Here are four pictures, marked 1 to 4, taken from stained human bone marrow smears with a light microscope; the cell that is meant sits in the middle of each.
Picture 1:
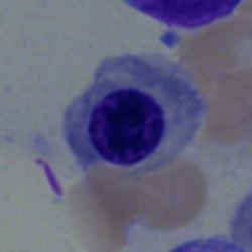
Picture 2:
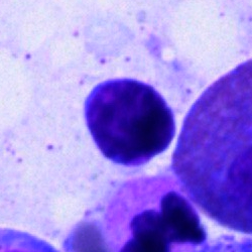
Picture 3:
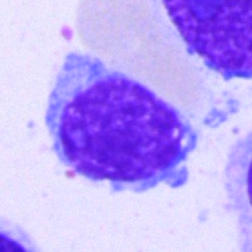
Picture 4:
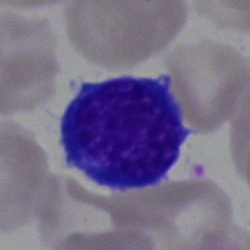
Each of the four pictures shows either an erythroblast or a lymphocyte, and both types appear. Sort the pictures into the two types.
1: erythroblast
2: lymphocyte
3: lymphocyte
4: lymphocyte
